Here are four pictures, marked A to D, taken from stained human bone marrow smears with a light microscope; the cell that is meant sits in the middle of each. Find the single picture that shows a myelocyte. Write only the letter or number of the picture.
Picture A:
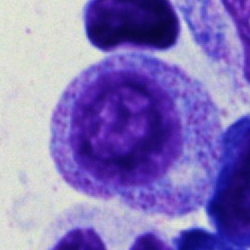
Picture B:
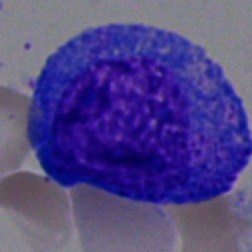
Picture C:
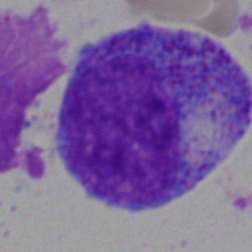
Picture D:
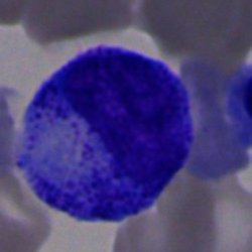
A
